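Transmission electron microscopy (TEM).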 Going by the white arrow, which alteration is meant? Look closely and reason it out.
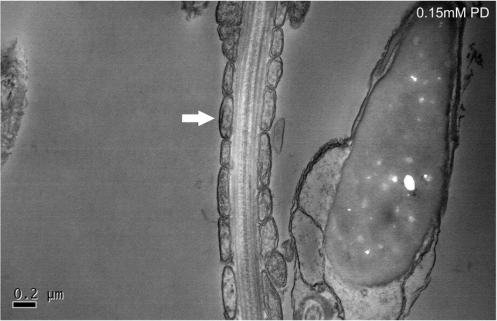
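Swollen mitochondria. A row of rounded compartments lines both sides of a lengthwise-cut tail piece.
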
